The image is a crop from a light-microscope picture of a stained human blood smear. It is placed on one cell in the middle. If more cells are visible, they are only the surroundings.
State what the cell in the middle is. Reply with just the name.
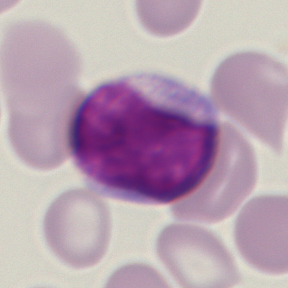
large granular lymphocyte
